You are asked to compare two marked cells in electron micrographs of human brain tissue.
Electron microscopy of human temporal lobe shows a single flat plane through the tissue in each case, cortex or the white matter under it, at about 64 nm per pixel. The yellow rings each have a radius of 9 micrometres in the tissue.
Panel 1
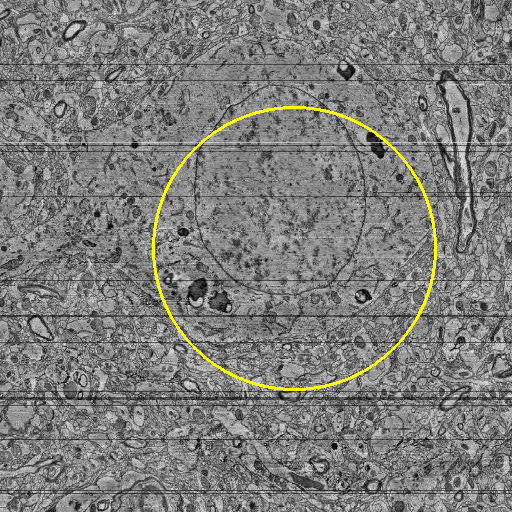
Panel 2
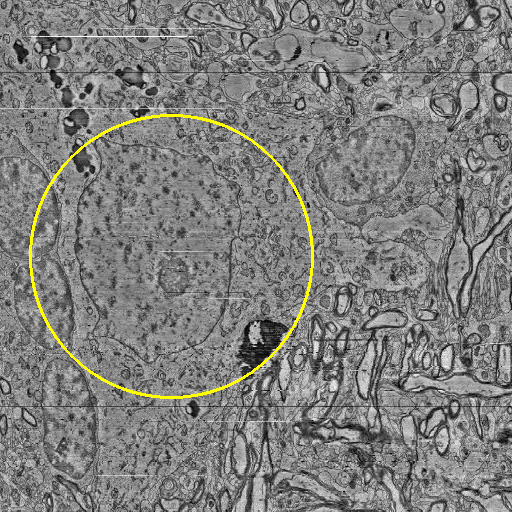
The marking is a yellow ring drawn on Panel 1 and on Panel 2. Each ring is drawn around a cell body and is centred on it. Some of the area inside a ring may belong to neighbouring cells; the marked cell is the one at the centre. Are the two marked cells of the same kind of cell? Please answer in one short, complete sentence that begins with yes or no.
Yes, the two marked cells are of the same kind.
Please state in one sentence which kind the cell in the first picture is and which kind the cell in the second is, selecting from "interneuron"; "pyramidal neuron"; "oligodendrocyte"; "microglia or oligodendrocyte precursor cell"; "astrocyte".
Both pictures show a pyramidal neuron at the centre of the ring.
